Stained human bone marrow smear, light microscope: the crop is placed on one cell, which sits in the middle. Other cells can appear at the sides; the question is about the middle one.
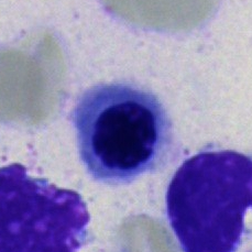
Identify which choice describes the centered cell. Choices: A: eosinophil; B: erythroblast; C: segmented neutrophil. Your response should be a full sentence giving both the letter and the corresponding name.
The cell at the heart of the crop is an erythroblast, so choose option B.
